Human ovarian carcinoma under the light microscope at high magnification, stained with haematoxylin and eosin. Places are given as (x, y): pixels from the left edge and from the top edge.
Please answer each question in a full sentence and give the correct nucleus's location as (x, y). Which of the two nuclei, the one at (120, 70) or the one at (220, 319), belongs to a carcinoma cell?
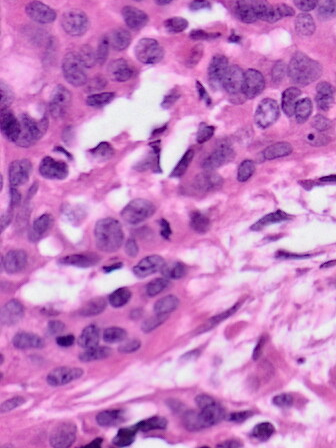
The nucleus lying at (120, 70) is the nucleus of a carcinoma cell.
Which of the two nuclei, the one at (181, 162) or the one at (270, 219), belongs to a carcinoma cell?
The nucleus at (181, 162) is attributed to a carcinoma cell, unlike the other nucleus.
